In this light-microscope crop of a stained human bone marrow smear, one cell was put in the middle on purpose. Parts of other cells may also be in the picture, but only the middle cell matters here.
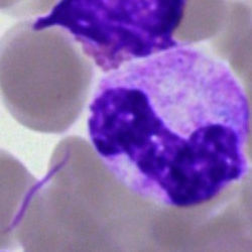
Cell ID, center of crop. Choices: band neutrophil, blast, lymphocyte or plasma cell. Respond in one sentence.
By classification, the middle cell of this crop is a band neutrophil.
